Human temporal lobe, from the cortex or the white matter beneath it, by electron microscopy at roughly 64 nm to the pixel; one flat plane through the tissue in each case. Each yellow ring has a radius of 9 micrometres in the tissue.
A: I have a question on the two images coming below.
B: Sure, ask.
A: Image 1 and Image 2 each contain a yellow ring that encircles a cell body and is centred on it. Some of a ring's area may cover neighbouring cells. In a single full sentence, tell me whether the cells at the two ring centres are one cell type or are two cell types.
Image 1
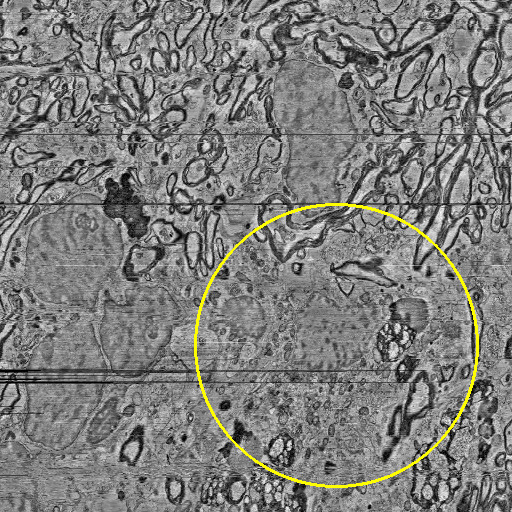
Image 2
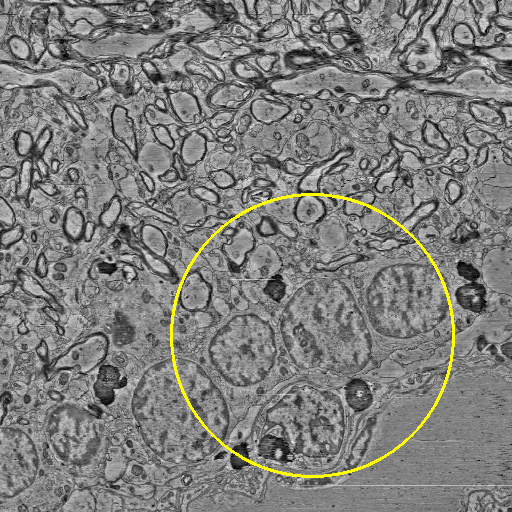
As for the ring-centre cells, the one in Image 1 and the one in Image 2 are two cell types.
